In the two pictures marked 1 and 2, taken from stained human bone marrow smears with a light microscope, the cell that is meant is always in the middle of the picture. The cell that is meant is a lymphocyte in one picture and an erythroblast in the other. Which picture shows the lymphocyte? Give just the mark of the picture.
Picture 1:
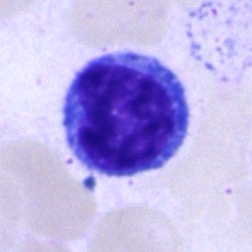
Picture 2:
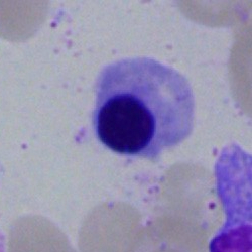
1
